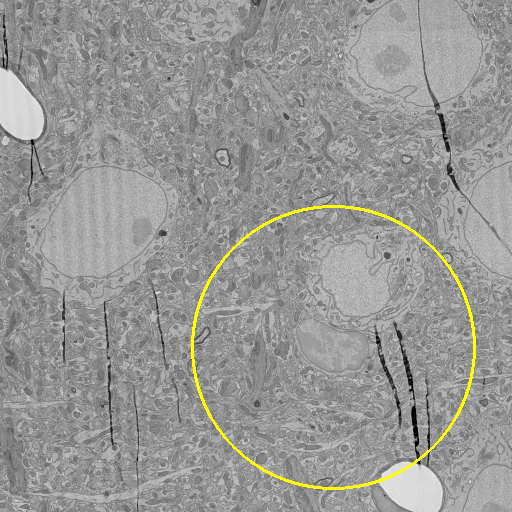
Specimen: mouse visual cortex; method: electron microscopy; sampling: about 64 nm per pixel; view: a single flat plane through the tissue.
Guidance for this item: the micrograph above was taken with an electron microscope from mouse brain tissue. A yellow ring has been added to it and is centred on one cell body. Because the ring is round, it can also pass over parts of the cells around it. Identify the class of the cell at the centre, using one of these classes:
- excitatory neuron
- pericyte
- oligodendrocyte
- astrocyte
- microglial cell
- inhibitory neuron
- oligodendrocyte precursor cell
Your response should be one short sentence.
The ring surrounds the body of a microglial cell.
